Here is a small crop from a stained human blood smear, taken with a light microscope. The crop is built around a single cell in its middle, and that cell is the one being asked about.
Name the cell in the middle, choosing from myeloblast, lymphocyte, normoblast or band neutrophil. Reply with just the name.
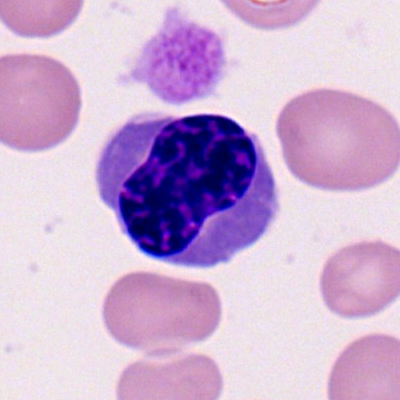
normoblast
